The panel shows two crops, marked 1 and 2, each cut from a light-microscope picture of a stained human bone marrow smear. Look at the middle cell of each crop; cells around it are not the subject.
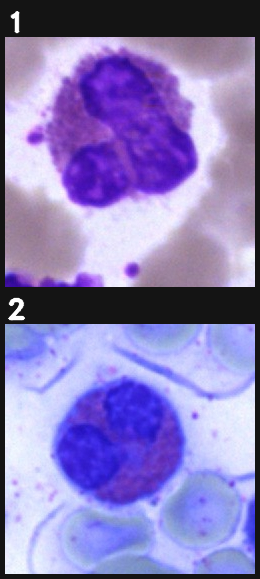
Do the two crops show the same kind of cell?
yes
